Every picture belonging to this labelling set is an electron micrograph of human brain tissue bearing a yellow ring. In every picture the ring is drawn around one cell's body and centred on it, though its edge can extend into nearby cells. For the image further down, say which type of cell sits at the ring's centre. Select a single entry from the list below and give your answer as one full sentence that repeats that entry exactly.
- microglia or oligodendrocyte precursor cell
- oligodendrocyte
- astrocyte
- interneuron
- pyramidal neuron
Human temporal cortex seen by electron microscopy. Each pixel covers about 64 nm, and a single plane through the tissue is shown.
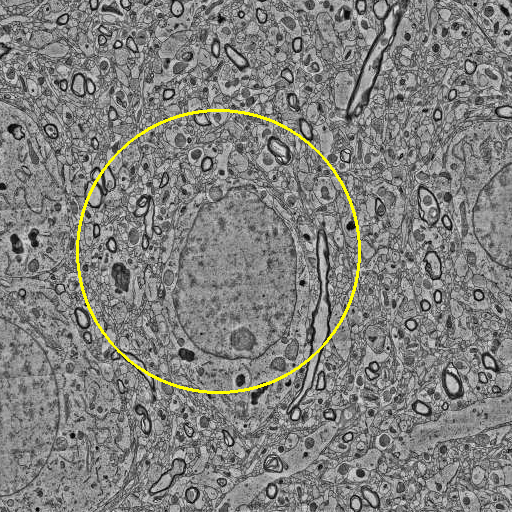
In the picture, a pyramidal neuron is the cell at the centre of the yellow ring.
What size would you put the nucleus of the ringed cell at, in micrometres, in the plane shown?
In this plane the nucleus measures roughly 11 by 8 micrometers.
